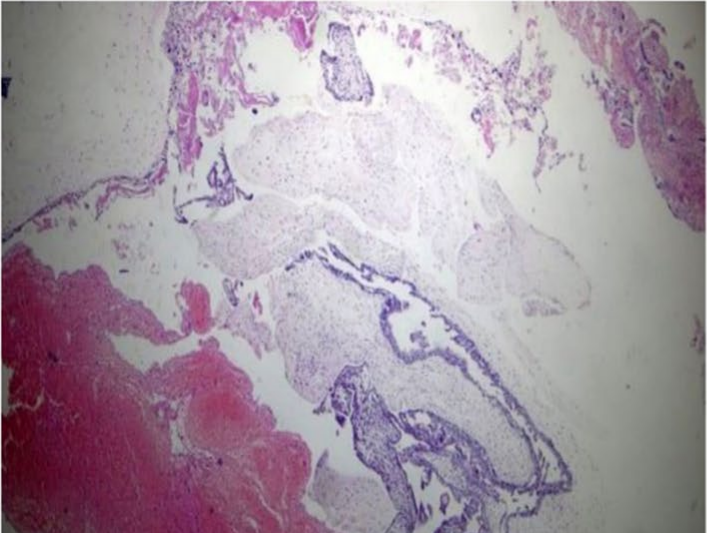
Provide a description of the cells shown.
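Placental trophoblastic villi are shown at low magnification, with large villi having pale, loosely textured pink stroma. The villi are covered by a thin surface layer of purple-staining trophoblast, with smaller villous fragments nearby. A large mass of red blood clot lies at the lower left. Dense pink tissue fragments lie along the upper edge.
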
